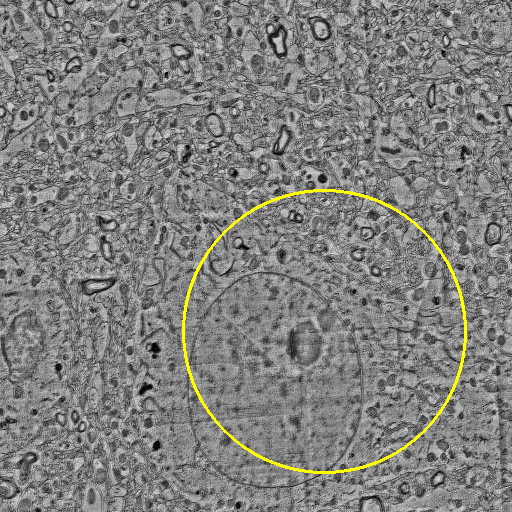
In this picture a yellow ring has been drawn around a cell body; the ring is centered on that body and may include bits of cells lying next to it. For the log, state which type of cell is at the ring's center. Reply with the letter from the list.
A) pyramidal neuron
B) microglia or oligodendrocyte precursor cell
A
